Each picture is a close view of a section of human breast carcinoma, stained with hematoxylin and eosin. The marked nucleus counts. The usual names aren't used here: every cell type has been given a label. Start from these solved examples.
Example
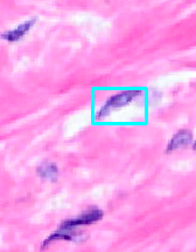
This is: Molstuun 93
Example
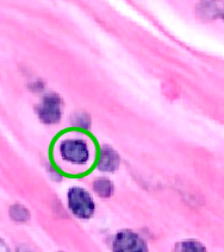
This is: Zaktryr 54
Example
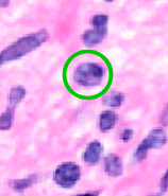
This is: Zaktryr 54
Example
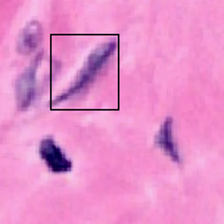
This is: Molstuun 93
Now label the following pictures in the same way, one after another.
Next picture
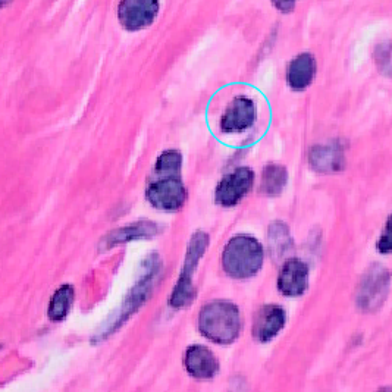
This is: Zaktryr 54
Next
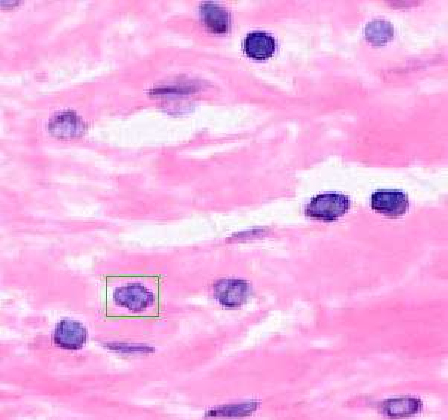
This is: Zaktryr 54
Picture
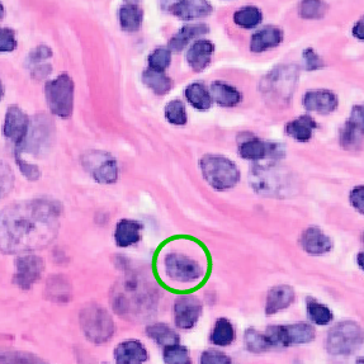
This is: Zaktryr 54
